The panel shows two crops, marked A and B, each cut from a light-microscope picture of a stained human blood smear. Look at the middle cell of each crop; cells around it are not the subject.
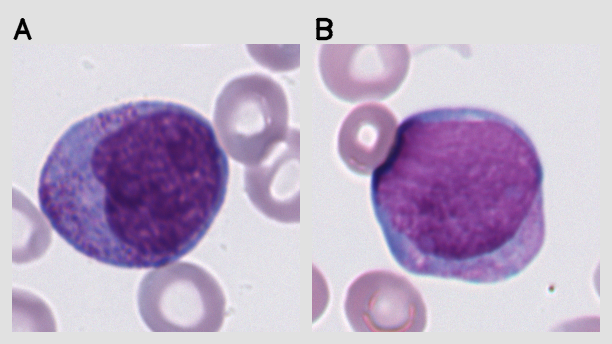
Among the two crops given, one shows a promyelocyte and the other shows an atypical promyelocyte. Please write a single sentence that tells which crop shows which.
Placed in the middle of crop A is a promyelocyte, and in the middle of crop B, an atypical promyelocyte.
